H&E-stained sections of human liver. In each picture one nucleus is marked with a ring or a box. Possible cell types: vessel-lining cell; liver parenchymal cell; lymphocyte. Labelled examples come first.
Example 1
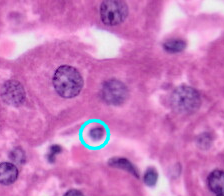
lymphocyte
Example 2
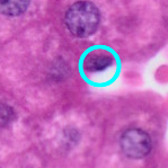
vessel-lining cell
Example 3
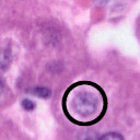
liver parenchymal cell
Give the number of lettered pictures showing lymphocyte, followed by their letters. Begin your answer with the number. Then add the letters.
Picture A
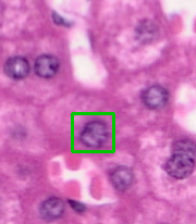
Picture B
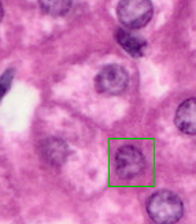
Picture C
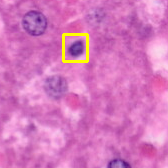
1: C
